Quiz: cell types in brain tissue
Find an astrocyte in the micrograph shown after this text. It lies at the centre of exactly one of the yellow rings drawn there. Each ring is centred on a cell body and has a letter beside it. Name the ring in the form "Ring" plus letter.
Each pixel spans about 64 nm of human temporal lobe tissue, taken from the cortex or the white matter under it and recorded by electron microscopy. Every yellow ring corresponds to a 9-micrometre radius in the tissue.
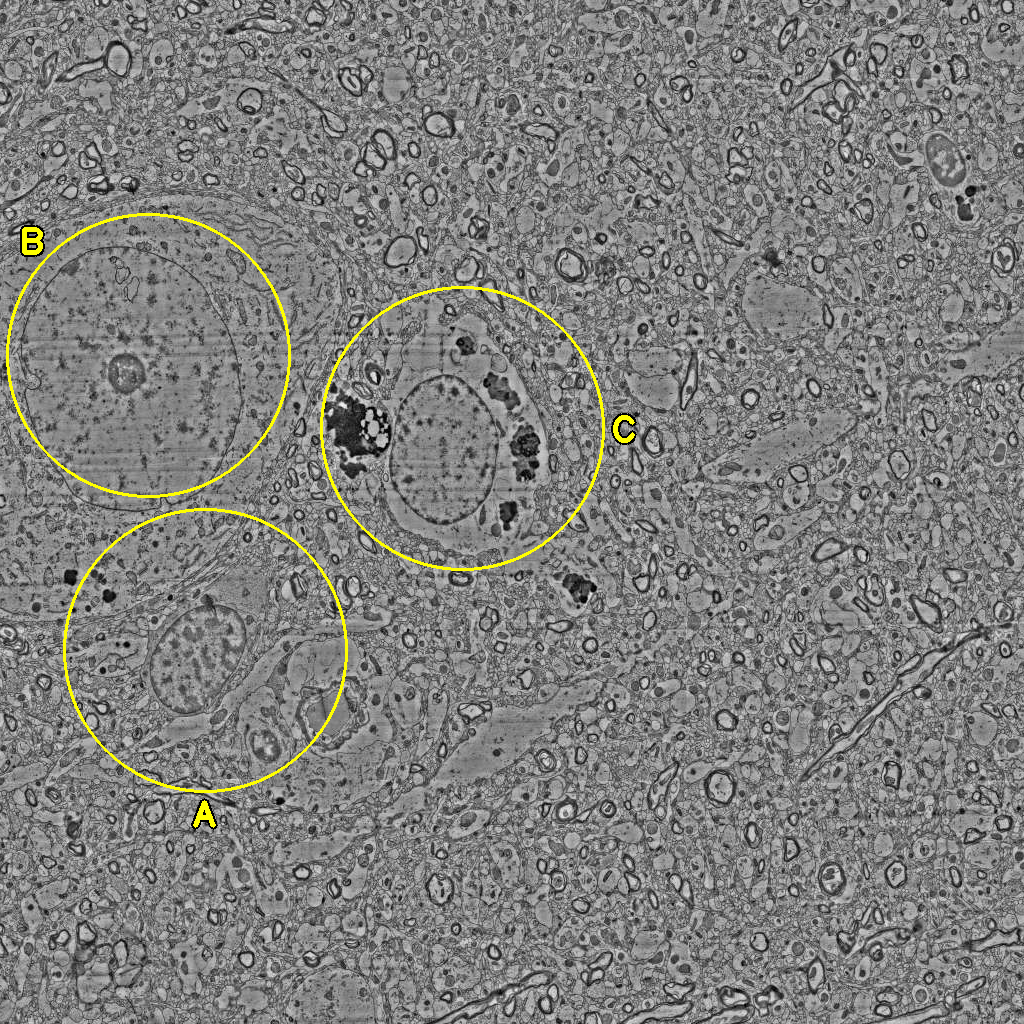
Ring C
